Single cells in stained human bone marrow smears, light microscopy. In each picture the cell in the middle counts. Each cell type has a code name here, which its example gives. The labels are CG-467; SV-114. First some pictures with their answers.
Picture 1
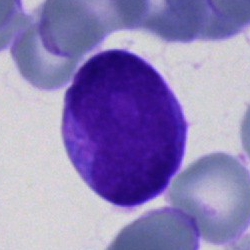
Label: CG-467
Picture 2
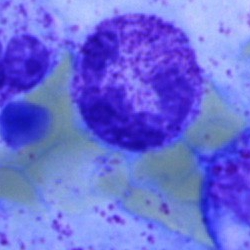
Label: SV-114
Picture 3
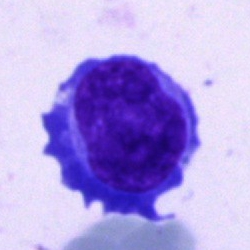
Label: CG-467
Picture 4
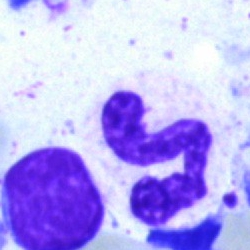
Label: SV-114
